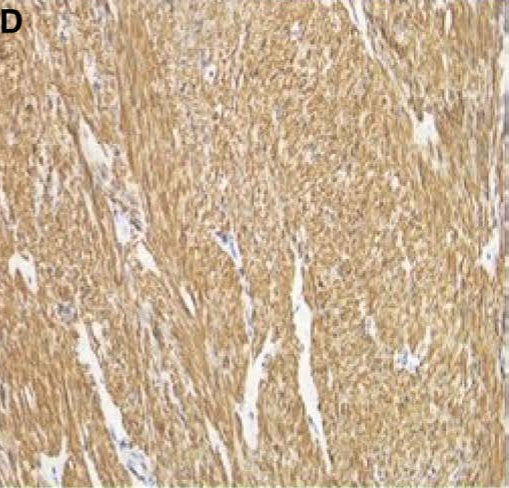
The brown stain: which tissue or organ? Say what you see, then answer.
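Diffuse brown cytoplasmic stain fills the fascicles of elongated cells. Only slit-like spaces and a few blue nuclei remain unstained.
Conclusion: smooth muscle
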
